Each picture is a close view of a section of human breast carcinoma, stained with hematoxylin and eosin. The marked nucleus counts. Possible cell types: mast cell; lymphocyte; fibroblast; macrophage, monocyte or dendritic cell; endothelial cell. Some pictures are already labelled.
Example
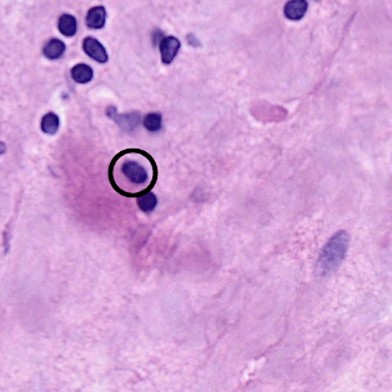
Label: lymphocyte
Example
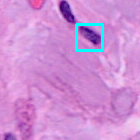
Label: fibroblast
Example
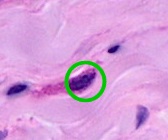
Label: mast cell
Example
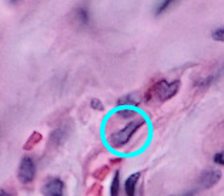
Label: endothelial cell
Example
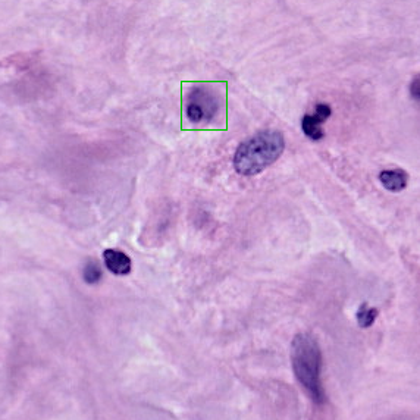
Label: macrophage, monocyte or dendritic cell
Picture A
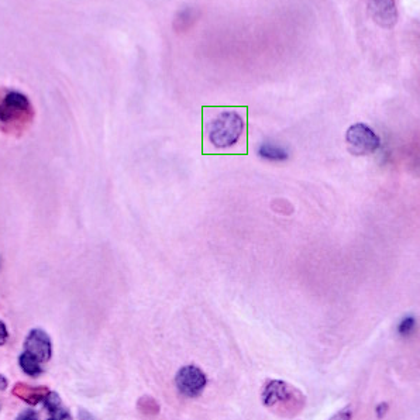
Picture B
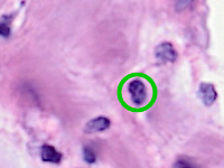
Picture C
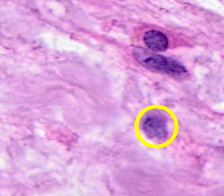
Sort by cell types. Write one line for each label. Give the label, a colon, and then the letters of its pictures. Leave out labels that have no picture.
lymphocyte: B
macrophage, monocyte or dendritic cell: A, C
